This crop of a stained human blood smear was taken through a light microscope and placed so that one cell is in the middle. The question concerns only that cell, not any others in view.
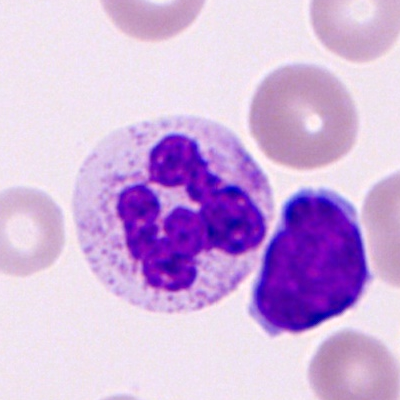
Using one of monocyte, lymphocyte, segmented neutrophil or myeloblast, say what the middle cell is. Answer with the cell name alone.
segmented neutrophil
